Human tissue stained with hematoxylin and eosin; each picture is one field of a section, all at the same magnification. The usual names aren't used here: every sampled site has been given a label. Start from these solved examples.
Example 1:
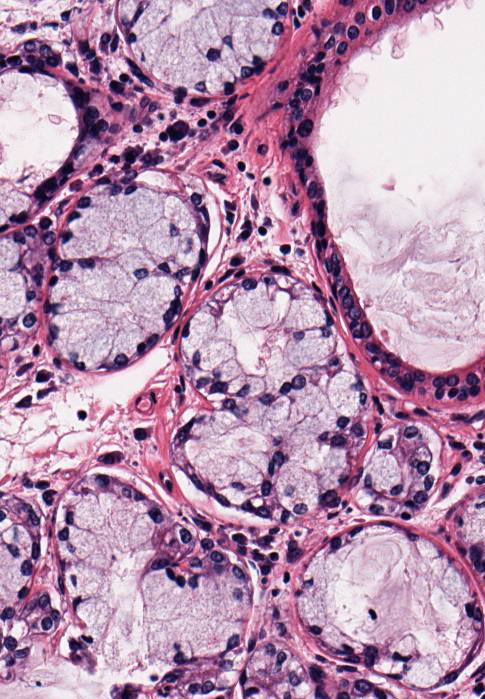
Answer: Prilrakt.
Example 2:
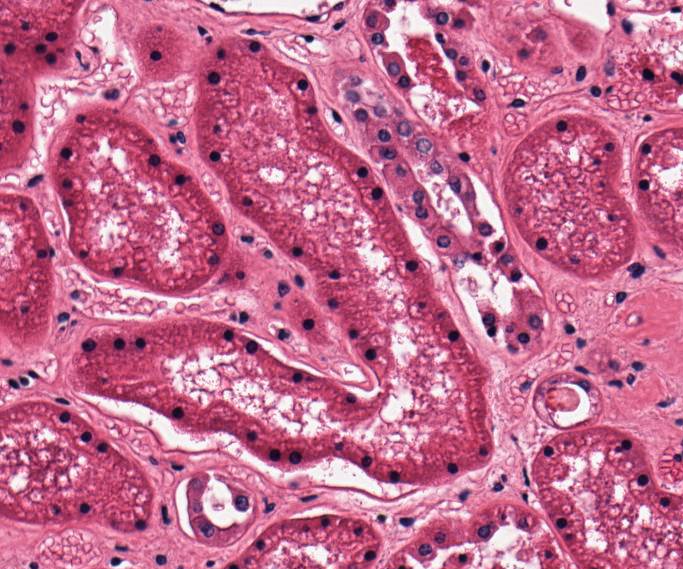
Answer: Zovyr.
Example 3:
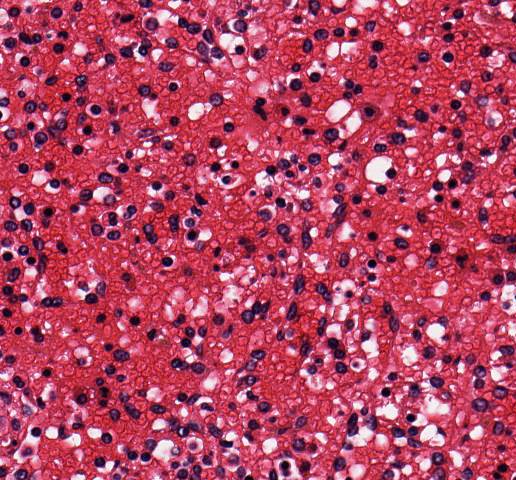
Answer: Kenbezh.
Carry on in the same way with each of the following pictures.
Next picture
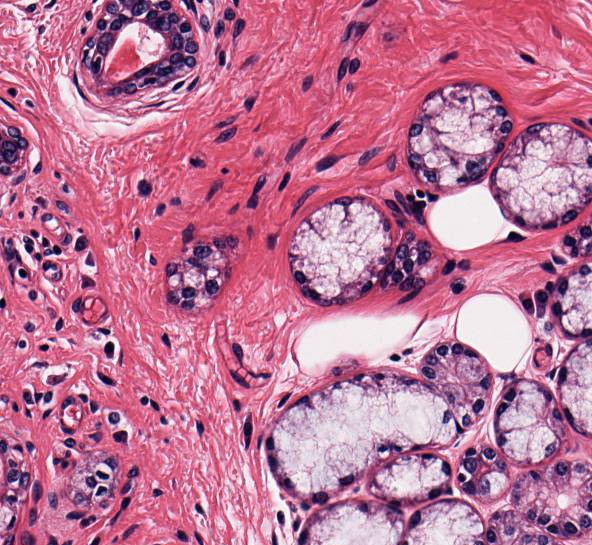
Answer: Prilrakt.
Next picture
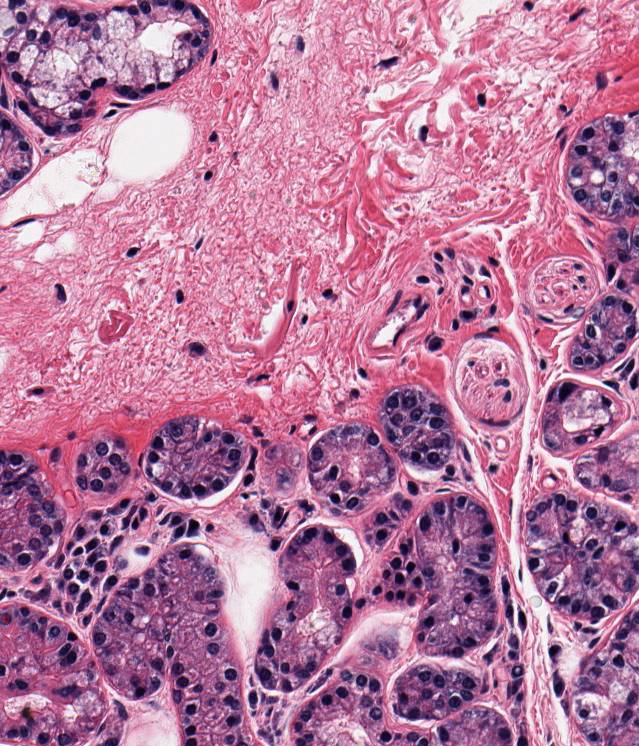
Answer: Prilrakt.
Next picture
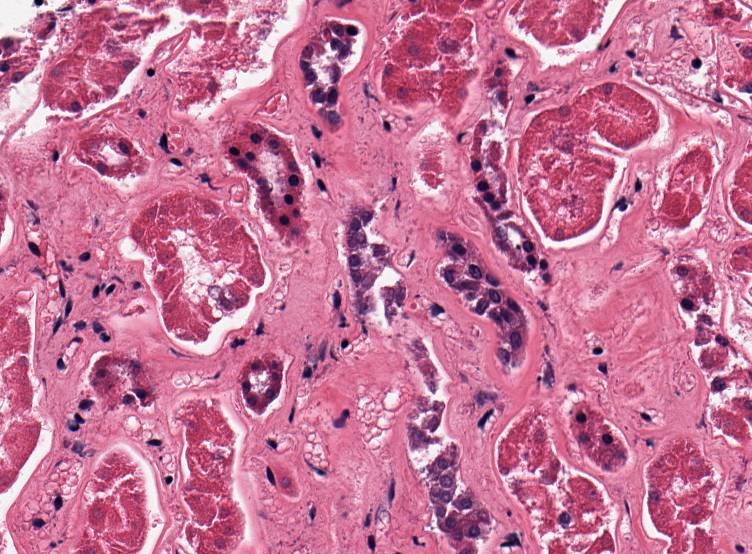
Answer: Zovyr.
